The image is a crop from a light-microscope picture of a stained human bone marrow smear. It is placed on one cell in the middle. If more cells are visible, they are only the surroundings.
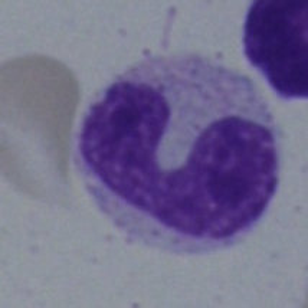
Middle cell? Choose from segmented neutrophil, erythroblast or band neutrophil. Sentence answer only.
Answering briefly, the cell in the middle is a band neutrophil.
